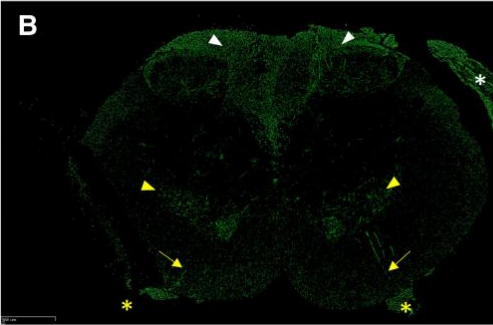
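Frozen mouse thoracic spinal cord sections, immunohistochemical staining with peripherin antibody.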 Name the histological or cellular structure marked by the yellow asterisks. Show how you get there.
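Ventral roots. The yellow asterisks lie at the ventrolateral edge of the cord, outside its outline. Brightly green fibre bundles lie next to the asterisks.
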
